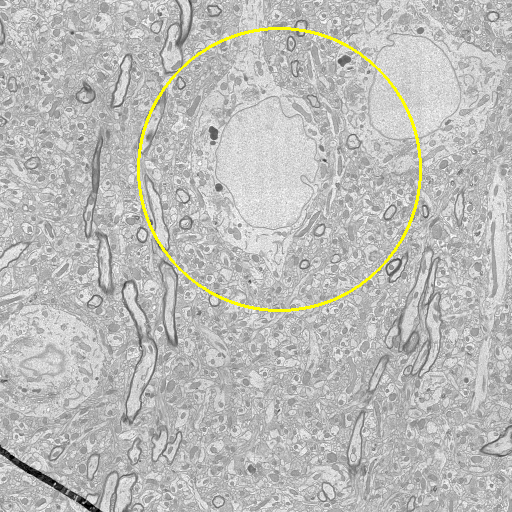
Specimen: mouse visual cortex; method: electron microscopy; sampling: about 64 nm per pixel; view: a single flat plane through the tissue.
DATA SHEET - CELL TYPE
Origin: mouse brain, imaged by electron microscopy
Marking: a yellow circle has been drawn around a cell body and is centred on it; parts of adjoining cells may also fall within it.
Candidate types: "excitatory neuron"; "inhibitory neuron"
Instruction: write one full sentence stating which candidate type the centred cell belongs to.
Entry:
The cell body at the centre of the yellow ring in this micrograph belongs to an excitatory neuron.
